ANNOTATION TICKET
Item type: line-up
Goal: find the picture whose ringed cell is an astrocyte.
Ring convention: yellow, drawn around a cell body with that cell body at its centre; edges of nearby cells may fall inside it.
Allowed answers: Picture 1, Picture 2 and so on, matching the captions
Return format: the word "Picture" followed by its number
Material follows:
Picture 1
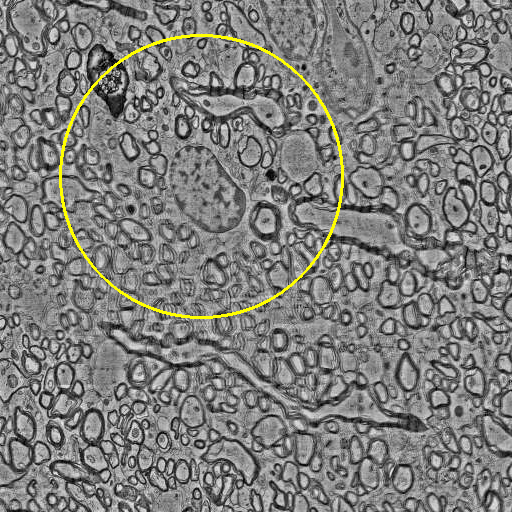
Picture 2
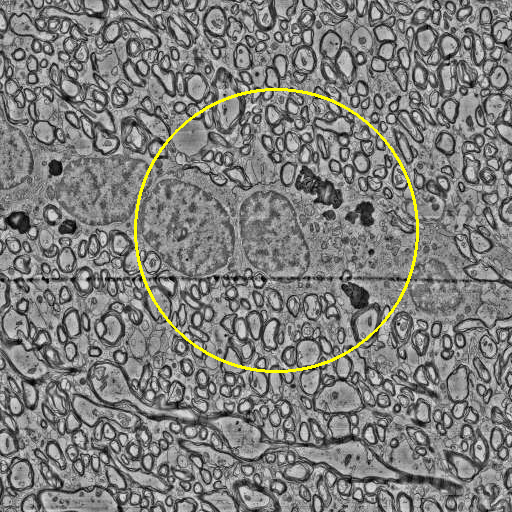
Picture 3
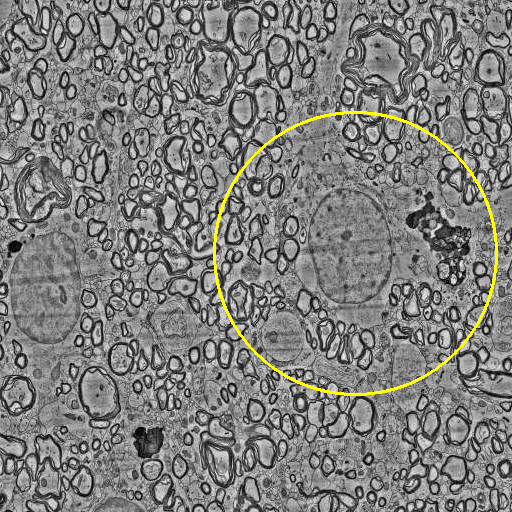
Picture 3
